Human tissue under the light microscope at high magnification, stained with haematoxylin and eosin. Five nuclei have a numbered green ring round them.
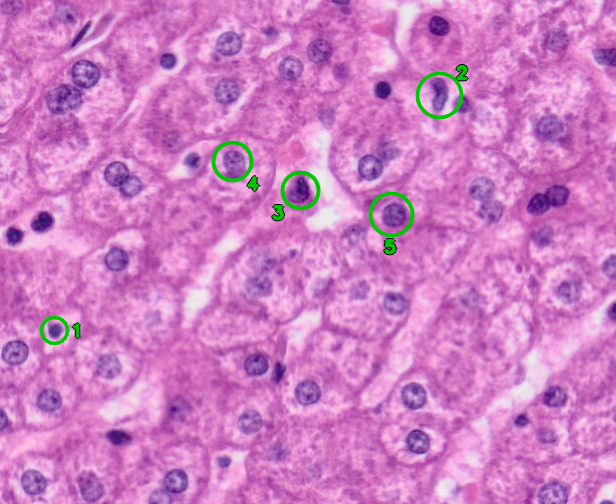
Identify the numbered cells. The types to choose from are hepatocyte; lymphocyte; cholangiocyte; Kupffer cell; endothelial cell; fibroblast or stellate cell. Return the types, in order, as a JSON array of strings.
["lymphocyte", "Kupffer cell", "Kupffer cell", "hepatocyte", "hepatocyte"]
